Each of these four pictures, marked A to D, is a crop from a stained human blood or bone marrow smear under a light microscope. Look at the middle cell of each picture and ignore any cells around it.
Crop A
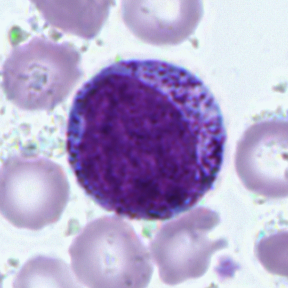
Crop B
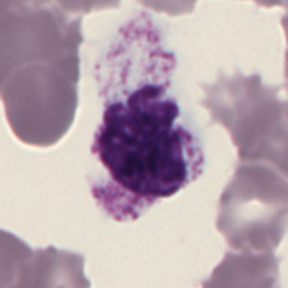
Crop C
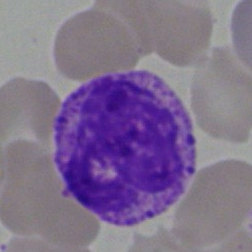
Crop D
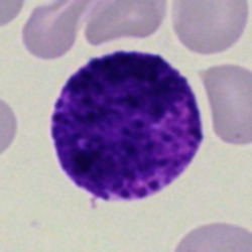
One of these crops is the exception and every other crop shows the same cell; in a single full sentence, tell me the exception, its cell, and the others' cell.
Among the crops, crop A is unique in showing a promyelocyte; the others show basophils.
